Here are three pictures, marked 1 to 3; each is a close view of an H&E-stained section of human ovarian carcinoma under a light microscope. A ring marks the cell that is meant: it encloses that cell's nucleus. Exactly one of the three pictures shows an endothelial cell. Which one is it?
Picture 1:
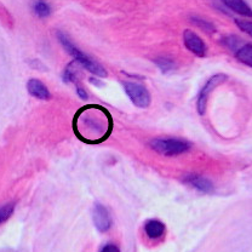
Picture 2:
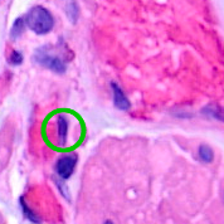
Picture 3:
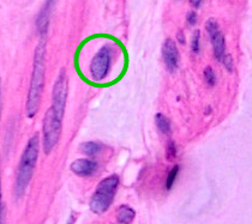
2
